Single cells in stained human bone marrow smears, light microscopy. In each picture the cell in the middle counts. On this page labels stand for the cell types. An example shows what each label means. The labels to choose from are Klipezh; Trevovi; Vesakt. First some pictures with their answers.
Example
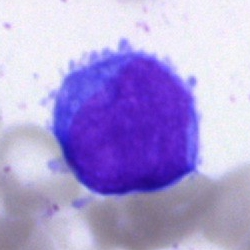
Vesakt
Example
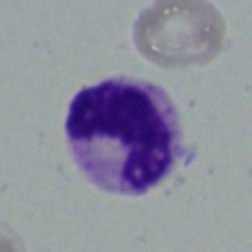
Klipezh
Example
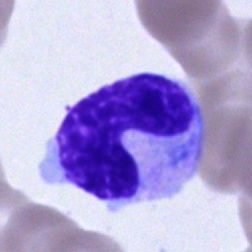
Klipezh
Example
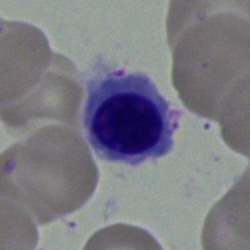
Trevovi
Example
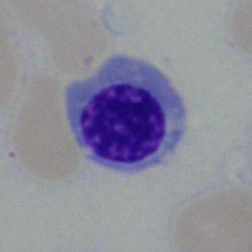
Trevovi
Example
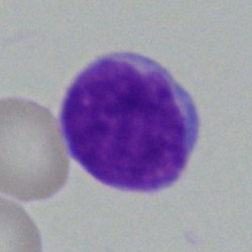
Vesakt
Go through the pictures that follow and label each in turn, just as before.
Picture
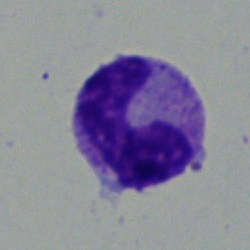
Klipezh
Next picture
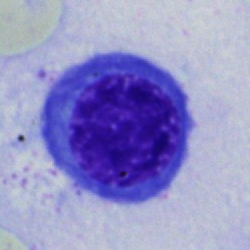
Trevovi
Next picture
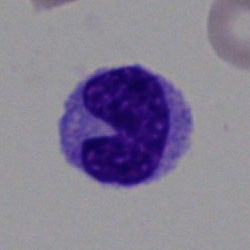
Klipezh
